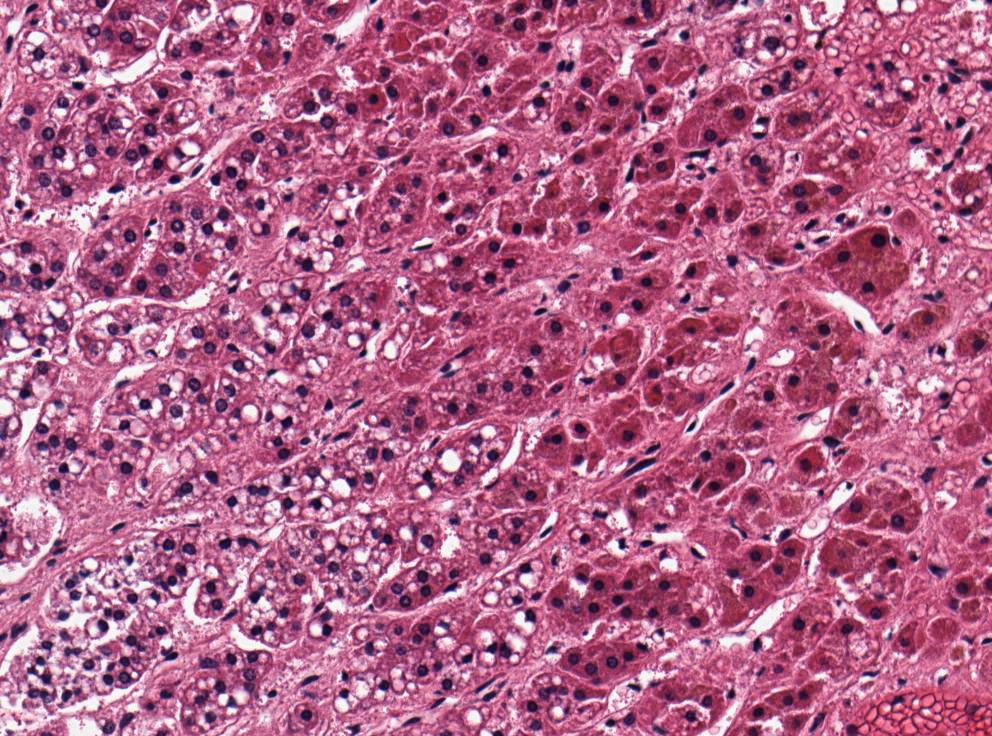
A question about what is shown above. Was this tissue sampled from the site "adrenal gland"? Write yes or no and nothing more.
yes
